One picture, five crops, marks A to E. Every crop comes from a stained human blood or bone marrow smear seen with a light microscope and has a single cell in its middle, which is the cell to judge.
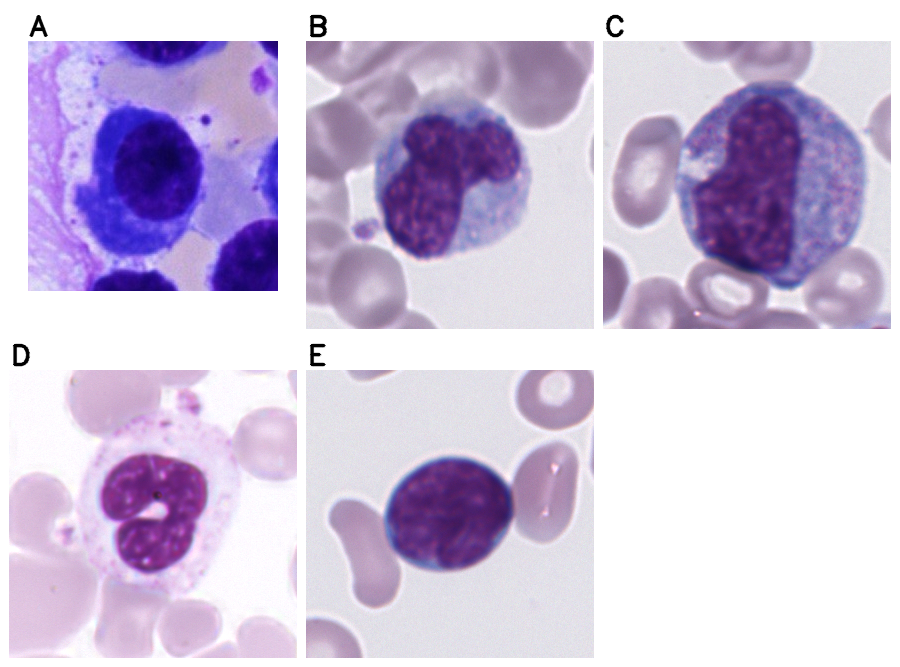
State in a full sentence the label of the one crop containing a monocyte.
The crop showing a monocyte in this series is crop B.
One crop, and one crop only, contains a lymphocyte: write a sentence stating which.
The cell at the center of crop E is the one that is a lymphocyte.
